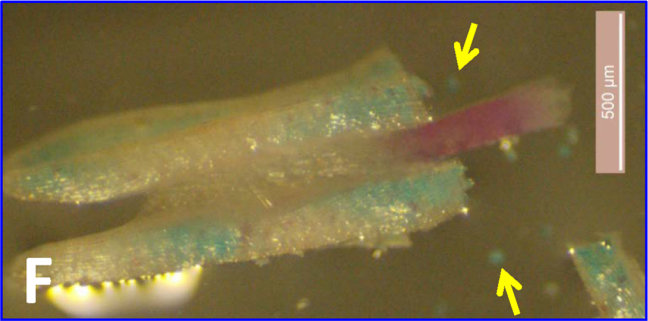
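This is an anther seen under a low-power microscope. It has two elongated, sac-like lobes lying side by side, with a narrow pinkish-purple stalk-like part between them at one end. Along the lobes there are blue-stained regions. Small, round, blue-stained pollen grains lie free on the background next to the lobes.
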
